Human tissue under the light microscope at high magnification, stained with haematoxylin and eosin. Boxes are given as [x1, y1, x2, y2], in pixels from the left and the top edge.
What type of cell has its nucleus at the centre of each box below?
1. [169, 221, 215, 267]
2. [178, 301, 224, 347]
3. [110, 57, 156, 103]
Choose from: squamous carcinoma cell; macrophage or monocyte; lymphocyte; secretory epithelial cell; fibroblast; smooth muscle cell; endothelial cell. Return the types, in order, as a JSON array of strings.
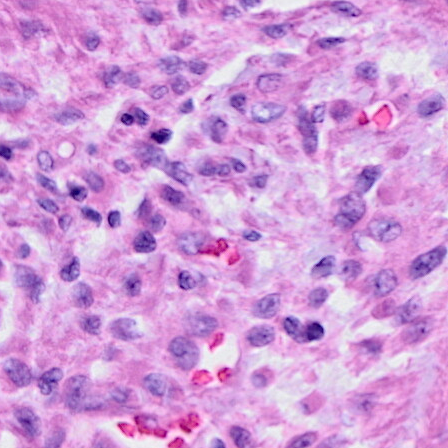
["endothelial cell", "endothelial cell", "fibroblast"]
